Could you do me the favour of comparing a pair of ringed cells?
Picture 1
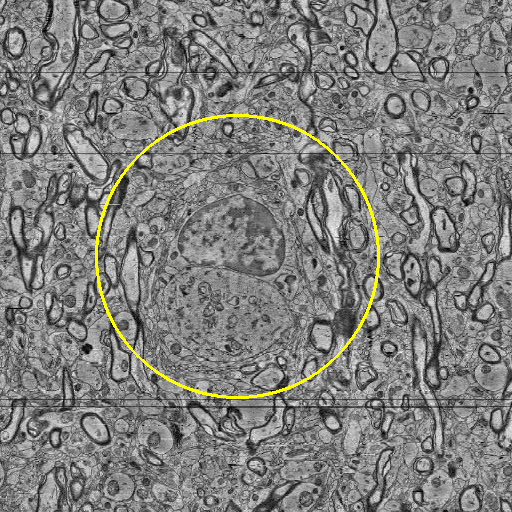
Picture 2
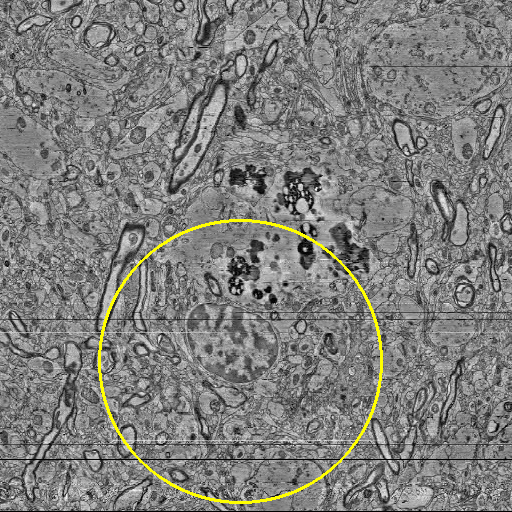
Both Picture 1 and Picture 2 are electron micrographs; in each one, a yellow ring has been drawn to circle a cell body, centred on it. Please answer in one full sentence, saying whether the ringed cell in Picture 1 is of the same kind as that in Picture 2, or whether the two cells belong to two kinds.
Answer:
The ringed cell in Picture 1 is of the same kind as that in Picture 2.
